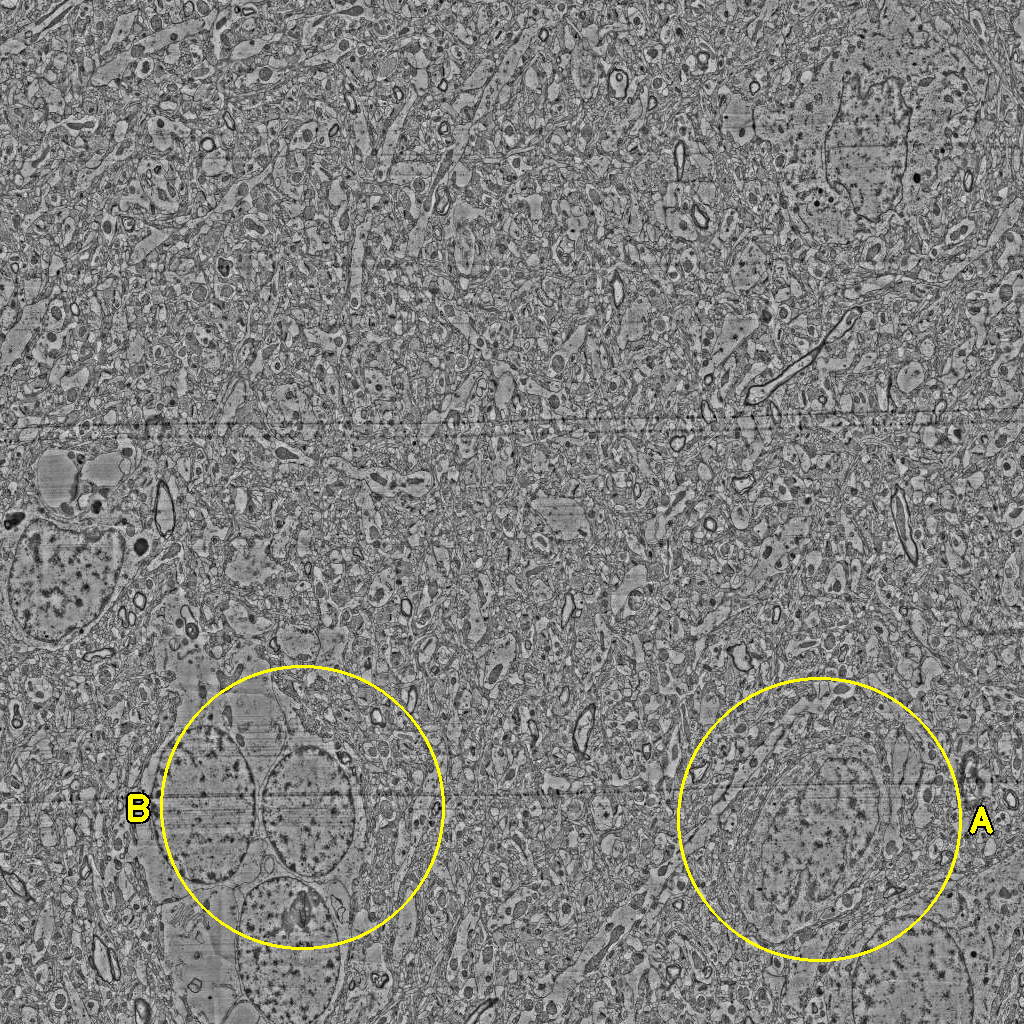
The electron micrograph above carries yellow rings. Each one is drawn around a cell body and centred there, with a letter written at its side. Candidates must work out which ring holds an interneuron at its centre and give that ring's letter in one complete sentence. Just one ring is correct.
Letter A marks the ring whose centre holds that kind of cell.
